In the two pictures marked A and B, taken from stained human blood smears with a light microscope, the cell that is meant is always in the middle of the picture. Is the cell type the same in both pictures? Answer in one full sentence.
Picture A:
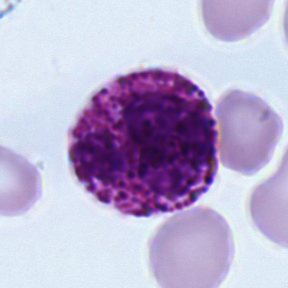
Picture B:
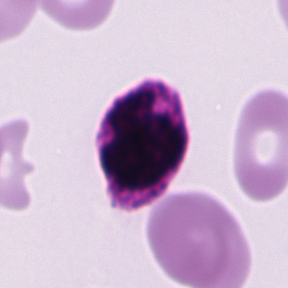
Yes; the cells in both pictures are basophils.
